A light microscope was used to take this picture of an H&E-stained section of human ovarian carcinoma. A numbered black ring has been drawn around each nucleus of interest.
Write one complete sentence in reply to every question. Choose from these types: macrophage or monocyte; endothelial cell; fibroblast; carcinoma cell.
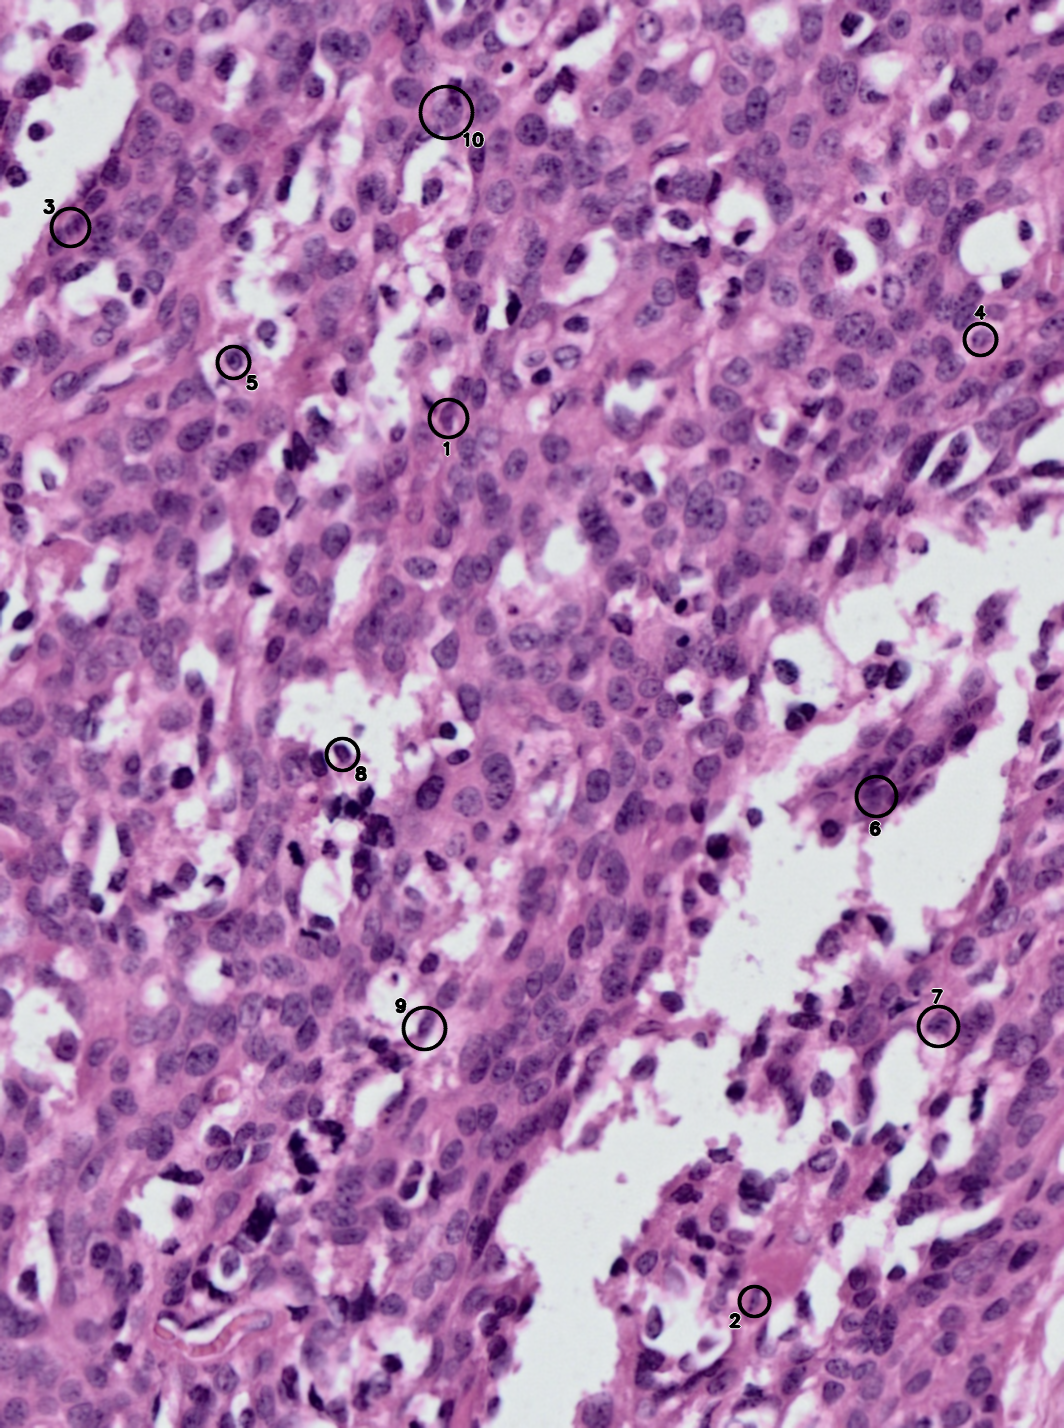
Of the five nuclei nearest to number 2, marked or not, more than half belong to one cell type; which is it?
Macrophages or monocytes account for more than half of the five nuclei nearest to number 2.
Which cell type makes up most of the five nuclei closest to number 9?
Carcinoma cells make up most of the five nuclei closest to number 9.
